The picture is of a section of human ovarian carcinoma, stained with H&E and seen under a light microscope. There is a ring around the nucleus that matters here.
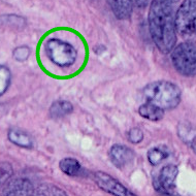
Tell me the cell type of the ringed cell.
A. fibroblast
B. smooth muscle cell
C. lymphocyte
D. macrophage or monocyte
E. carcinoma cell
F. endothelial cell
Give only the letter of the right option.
A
